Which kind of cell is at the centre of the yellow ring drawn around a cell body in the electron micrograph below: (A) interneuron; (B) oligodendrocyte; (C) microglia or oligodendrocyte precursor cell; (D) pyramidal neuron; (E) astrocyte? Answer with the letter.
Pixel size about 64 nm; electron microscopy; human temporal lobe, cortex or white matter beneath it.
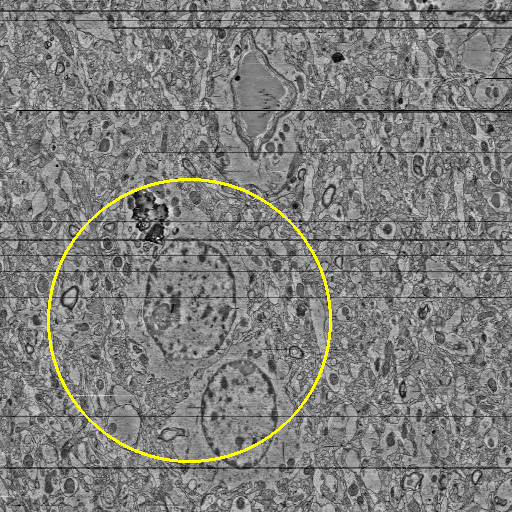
E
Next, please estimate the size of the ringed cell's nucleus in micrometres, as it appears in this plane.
The nucleus comes to roughly 8 by 6 micrometres in this plane.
